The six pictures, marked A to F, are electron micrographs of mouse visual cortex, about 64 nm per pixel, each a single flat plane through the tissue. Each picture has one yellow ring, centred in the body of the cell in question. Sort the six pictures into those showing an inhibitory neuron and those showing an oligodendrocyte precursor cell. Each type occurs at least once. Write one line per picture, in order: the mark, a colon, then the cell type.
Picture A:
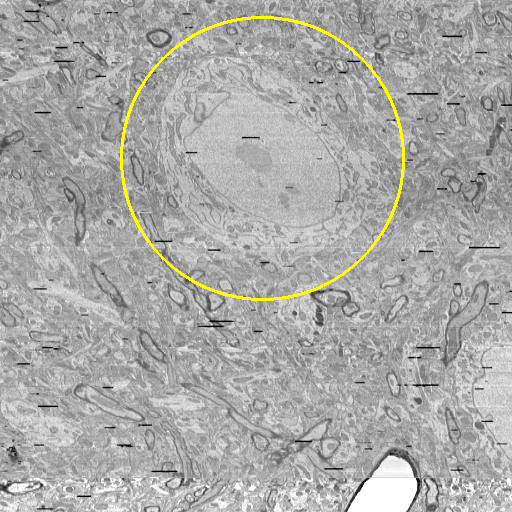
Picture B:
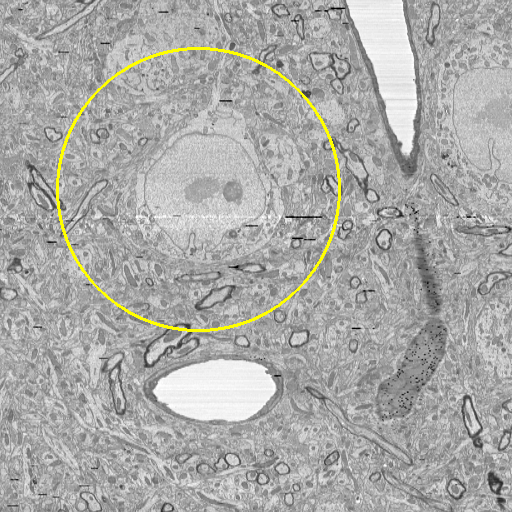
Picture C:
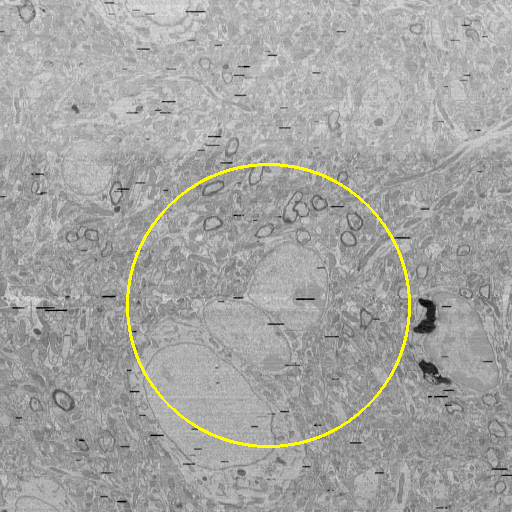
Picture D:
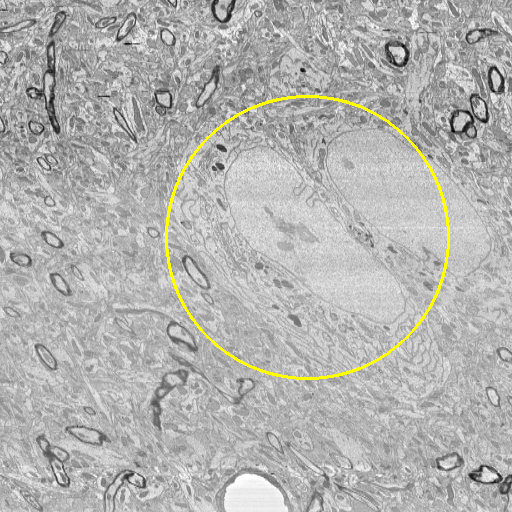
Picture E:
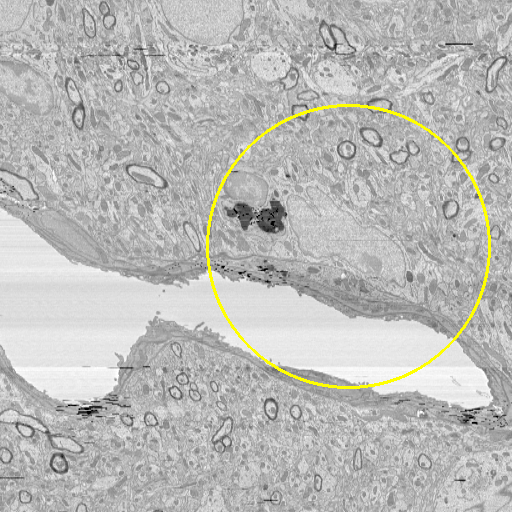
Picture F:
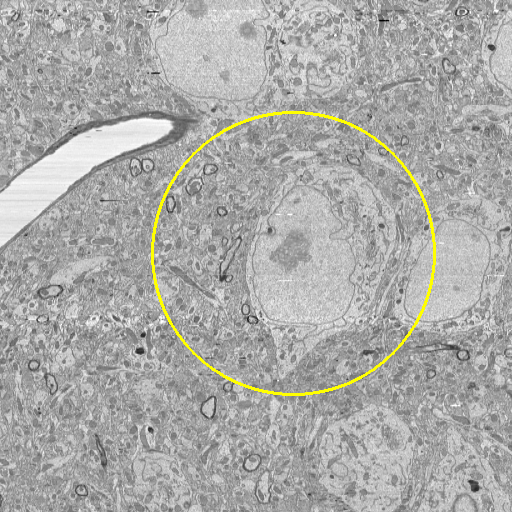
A: inhibitory neuron
B: inhibitory neuron
C: oligodendrocyte precursor cell
D: inhibitory neuron
E: oligodendrocyte precursor cell
F: inhibitory neuron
